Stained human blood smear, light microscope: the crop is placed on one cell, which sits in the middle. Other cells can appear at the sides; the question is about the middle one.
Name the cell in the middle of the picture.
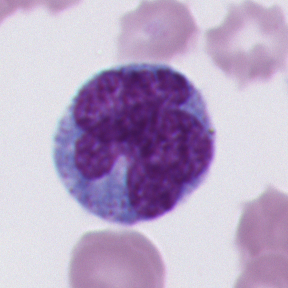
monocyte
